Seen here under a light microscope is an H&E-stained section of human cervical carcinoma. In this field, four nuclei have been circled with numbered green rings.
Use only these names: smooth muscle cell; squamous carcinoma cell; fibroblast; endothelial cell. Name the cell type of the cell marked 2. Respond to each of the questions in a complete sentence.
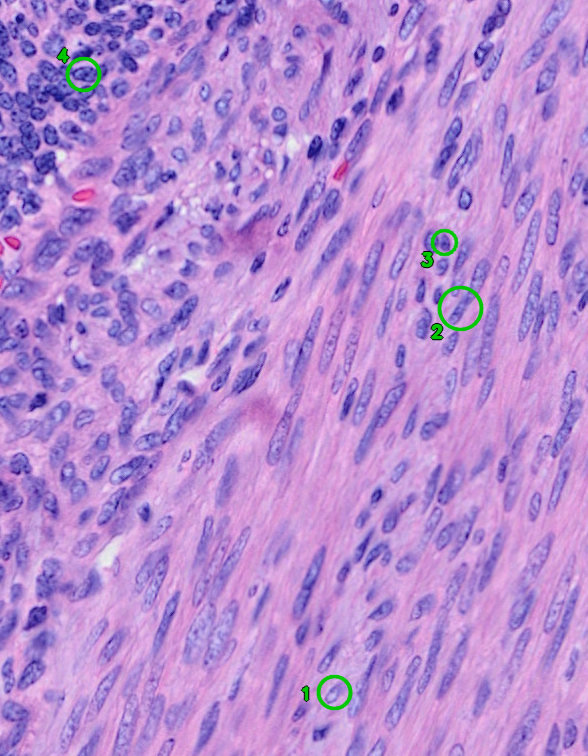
The numeral 2 marks a smooth muscle cell in this section.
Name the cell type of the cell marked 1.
Cell 1 should be recorded as a smooth muscle cell.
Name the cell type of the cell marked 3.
The marked cell with the number 3 is recognised as a smooth muscle cell.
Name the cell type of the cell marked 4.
The correct answer for cell 4 is a squamous carcinoma cell.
